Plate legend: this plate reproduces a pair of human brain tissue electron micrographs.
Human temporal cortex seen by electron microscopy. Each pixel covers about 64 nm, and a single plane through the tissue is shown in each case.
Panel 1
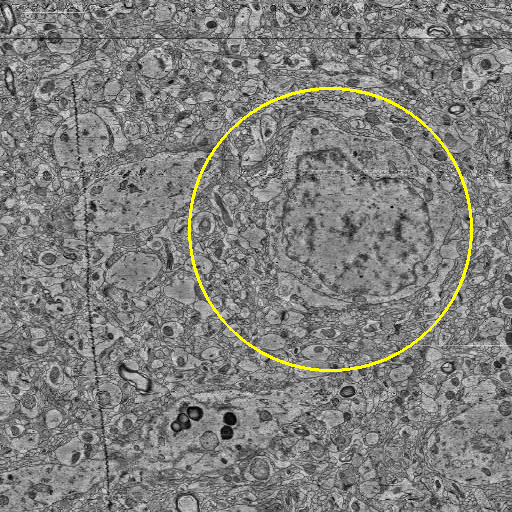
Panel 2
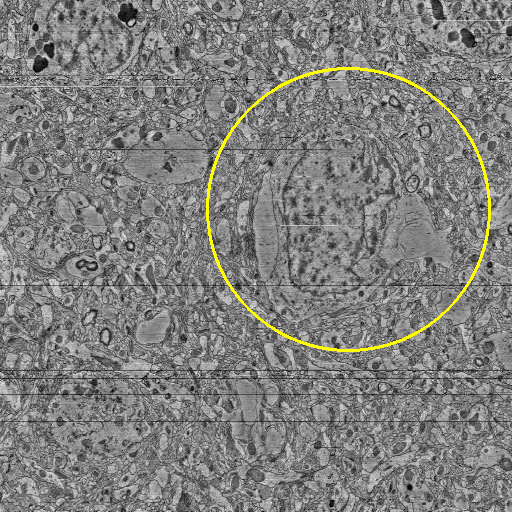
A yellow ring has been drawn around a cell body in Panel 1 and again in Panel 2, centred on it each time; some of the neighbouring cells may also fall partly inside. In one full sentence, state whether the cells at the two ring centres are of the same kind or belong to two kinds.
The ring-centred cells of Panel 1 and Panel 2 are of the same kind.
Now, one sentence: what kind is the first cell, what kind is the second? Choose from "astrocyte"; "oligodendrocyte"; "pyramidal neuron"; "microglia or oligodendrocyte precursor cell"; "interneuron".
Both the first and the second picture show an interneuron in the ring.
